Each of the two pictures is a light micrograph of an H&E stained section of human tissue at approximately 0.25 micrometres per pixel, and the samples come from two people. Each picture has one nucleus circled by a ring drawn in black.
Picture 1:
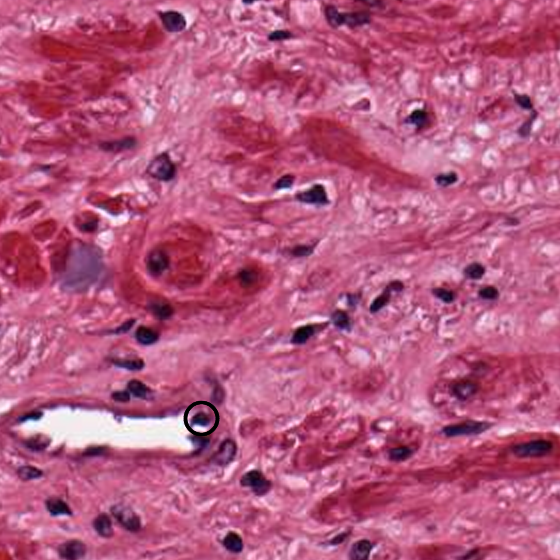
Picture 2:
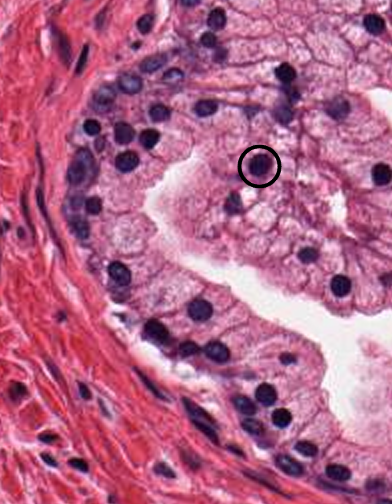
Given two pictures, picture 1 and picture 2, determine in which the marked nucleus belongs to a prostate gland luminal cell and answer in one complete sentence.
Marked in picture 2 is the nucleus of a prostate gland luminal cell.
